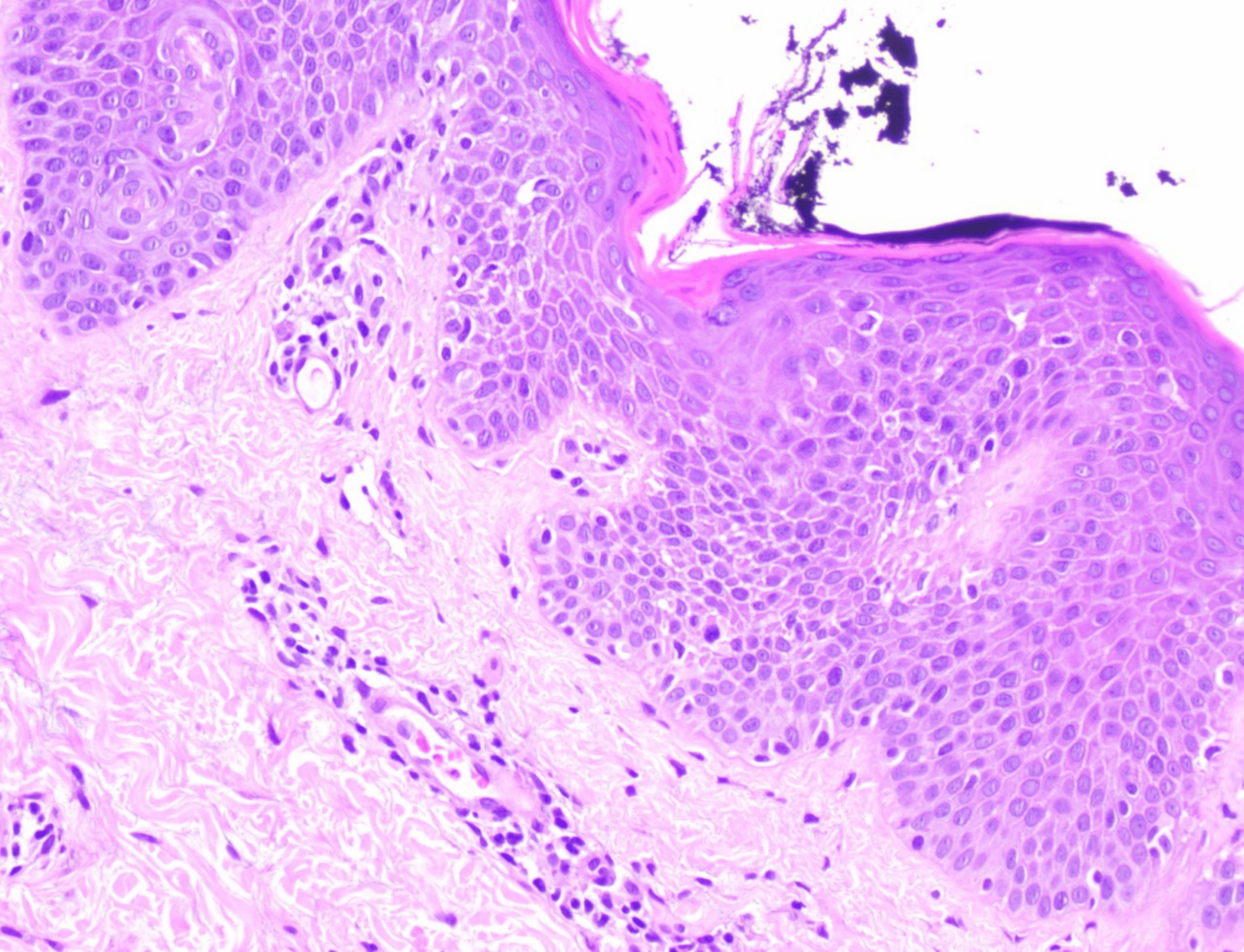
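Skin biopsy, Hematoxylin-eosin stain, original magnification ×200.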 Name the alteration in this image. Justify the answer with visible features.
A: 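The epidermis is thick, many layers of squamous cells deep. Broad rete ridges push down into the dermis. The answer: acanthosis.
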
